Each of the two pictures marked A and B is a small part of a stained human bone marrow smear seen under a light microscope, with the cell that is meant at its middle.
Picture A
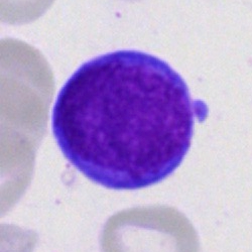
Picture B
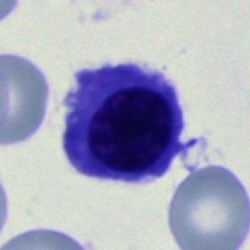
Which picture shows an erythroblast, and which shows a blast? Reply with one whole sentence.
Picture A shows a blast and picture B shows an erythroblast.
